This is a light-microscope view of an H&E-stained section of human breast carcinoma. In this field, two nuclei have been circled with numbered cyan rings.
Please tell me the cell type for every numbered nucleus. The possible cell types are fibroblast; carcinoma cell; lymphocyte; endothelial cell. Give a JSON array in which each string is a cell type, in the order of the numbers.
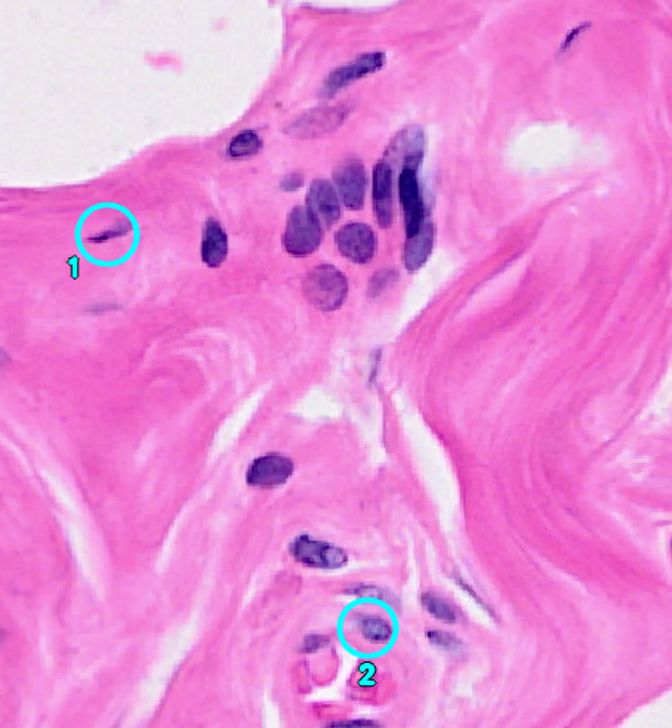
["fibroblast", "endothelial cell"]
